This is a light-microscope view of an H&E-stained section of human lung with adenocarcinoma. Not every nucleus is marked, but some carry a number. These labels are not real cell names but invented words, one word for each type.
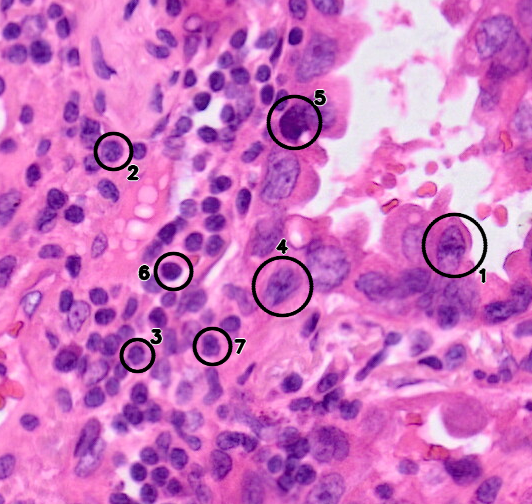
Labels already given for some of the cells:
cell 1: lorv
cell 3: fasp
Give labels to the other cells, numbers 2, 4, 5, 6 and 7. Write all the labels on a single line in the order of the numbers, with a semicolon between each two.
fasp; lorv; lorv; fasp; fasp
